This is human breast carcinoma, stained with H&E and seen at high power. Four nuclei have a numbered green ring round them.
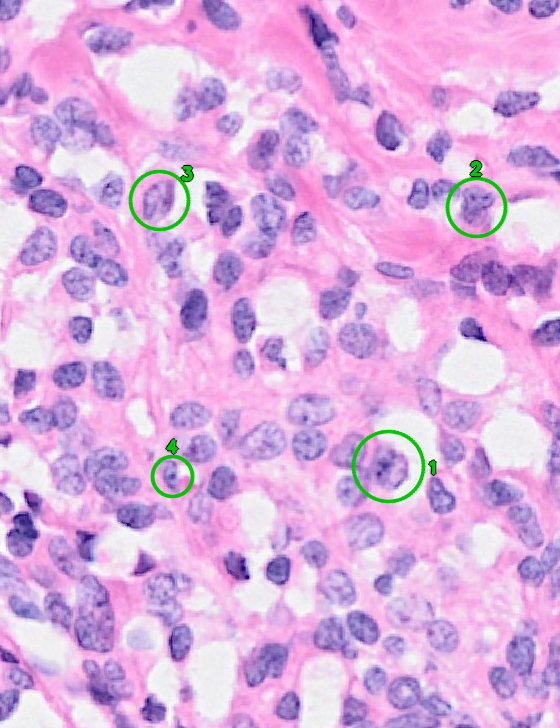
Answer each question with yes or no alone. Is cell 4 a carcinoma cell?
no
